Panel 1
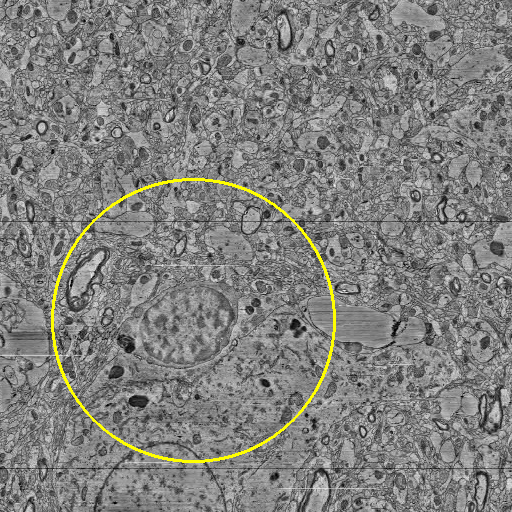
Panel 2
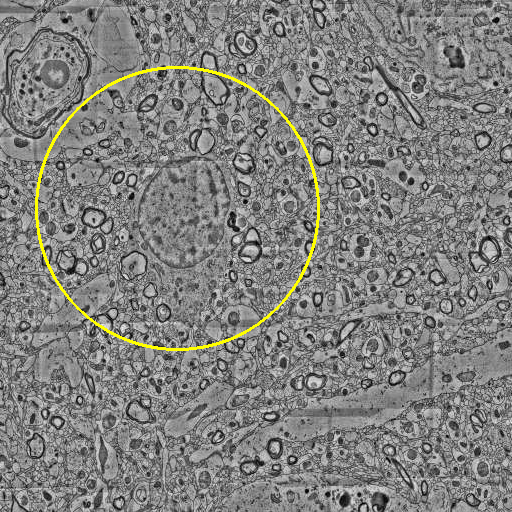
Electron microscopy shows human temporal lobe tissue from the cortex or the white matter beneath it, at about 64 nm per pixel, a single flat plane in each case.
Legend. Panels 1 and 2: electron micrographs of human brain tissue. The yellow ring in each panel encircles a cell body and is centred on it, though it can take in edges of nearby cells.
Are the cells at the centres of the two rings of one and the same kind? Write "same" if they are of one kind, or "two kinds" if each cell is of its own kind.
same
